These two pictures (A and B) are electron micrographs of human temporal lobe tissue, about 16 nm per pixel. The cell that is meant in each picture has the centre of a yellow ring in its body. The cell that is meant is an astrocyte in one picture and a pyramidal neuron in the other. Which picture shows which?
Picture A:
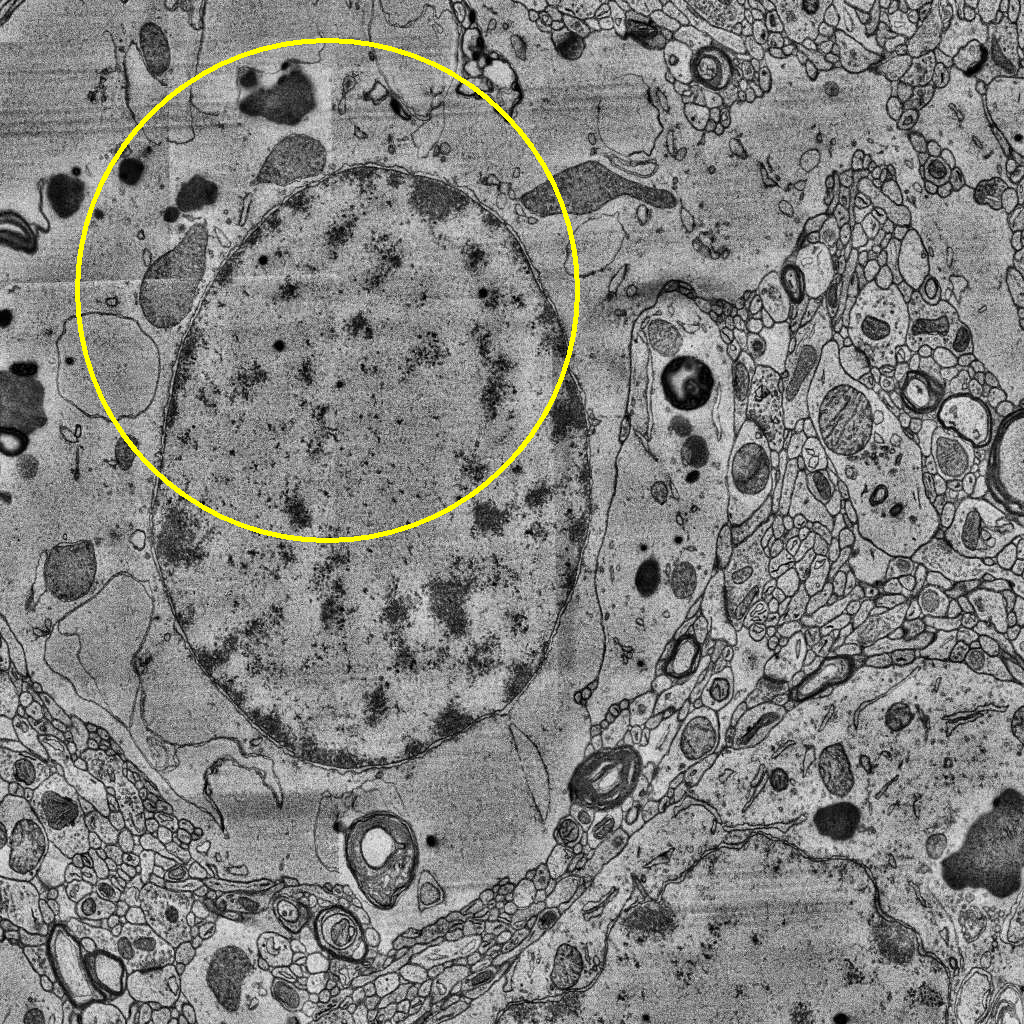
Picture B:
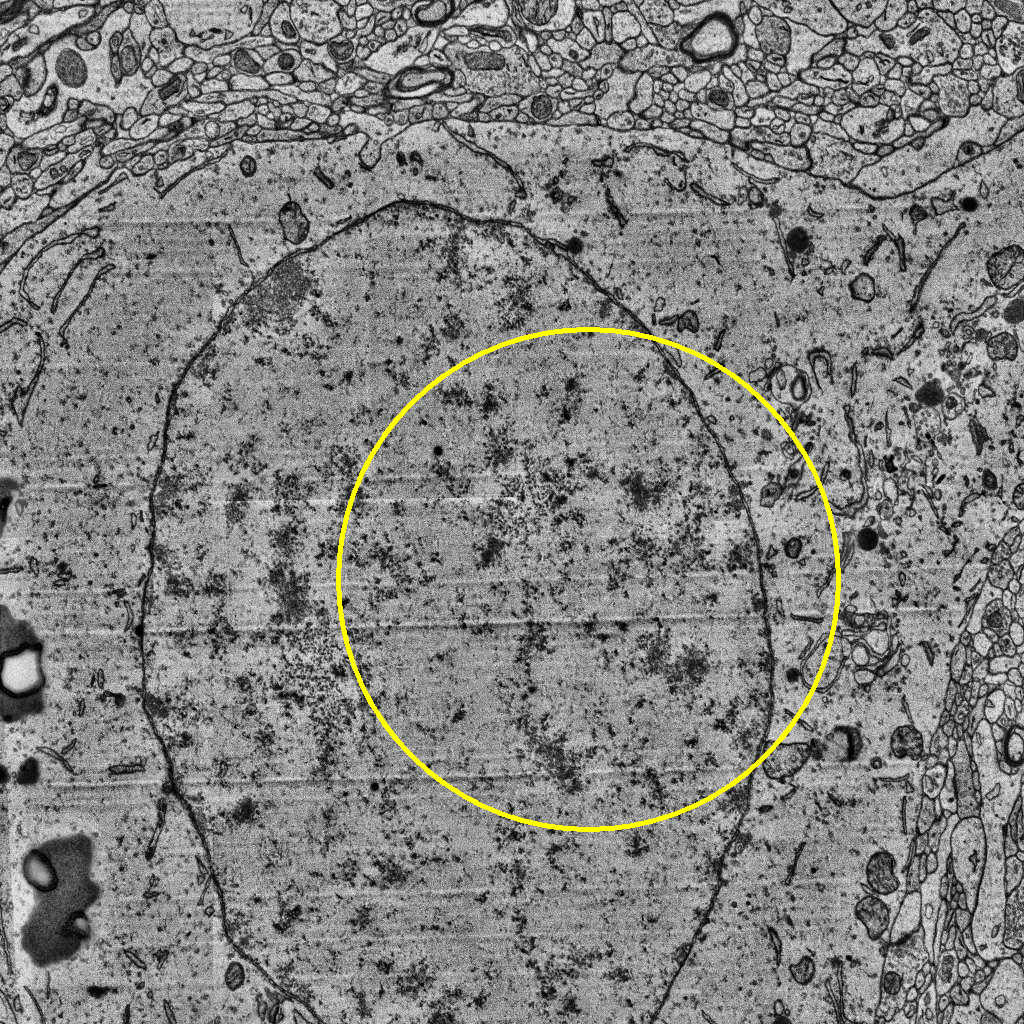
The cell in picture A is an astrocyte, and the one in picture B is a pyramidal neuron.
